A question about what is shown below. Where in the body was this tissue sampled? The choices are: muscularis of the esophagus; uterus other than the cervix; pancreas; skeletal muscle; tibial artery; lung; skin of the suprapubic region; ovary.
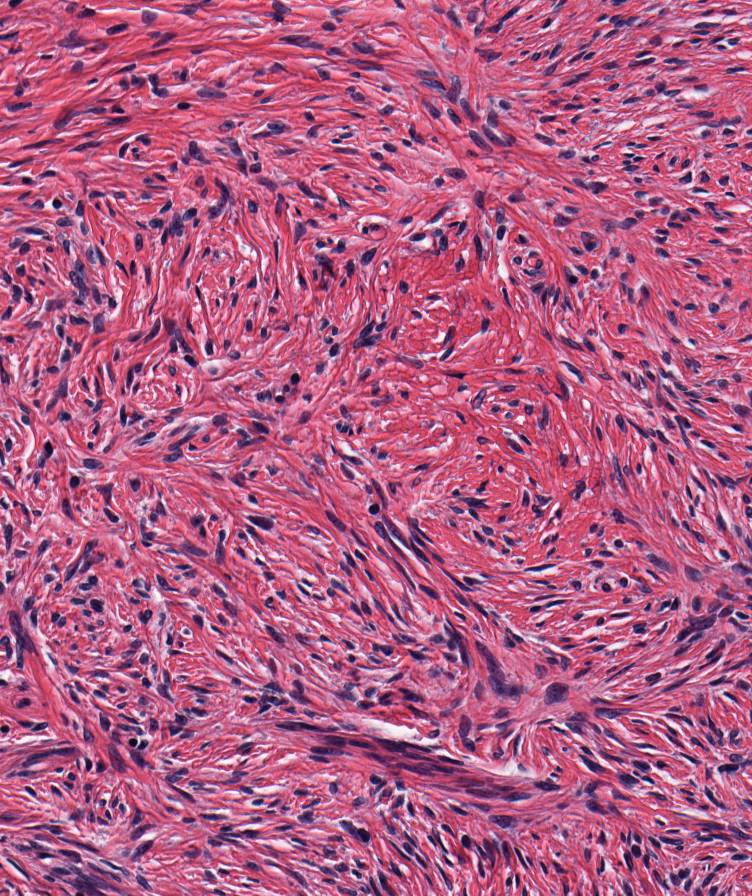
ovary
